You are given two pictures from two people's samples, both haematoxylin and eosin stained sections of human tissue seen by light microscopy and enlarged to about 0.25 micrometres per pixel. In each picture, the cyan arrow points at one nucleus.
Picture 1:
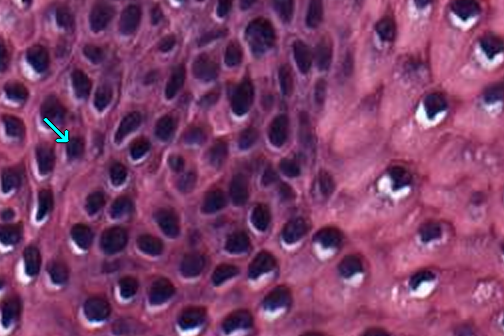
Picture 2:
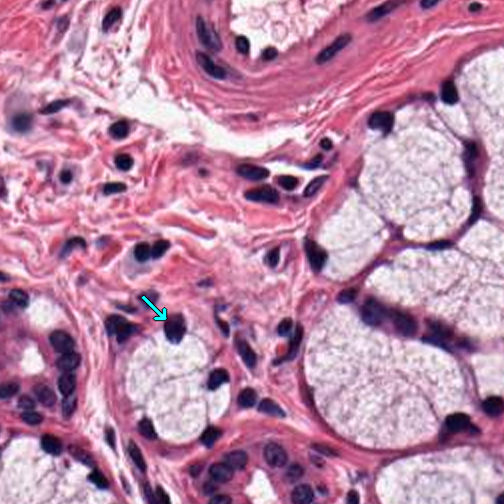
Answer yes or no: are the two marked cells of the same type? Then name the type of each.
No, the first is a squamous epithelial cell and the second a mucous gland cell.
